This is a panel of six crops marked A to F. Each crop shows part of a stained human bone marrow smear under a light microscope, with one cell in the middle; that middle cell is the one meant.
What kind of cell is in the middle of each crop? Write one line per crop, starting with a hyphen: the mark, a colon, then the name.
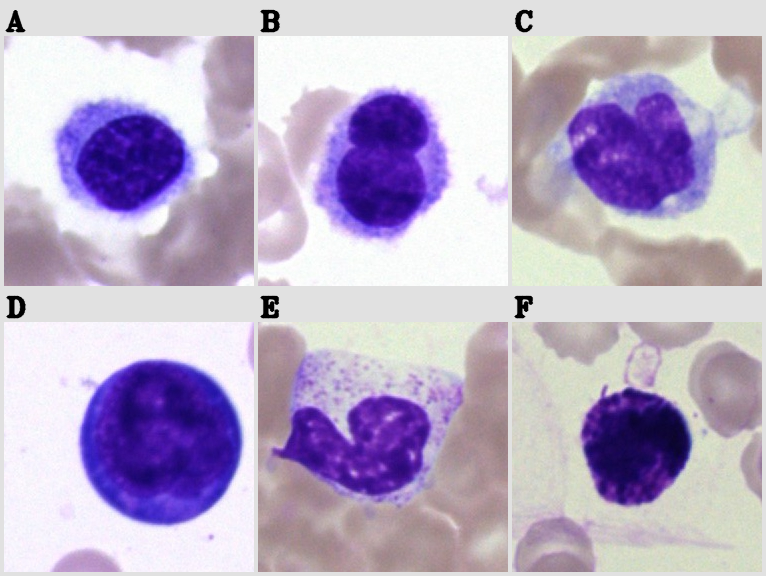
- A: hairy cell
- B: hairy cell
- C: monocyte
- D: proerythroblast
- E: band neutrophil
- F: basophil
